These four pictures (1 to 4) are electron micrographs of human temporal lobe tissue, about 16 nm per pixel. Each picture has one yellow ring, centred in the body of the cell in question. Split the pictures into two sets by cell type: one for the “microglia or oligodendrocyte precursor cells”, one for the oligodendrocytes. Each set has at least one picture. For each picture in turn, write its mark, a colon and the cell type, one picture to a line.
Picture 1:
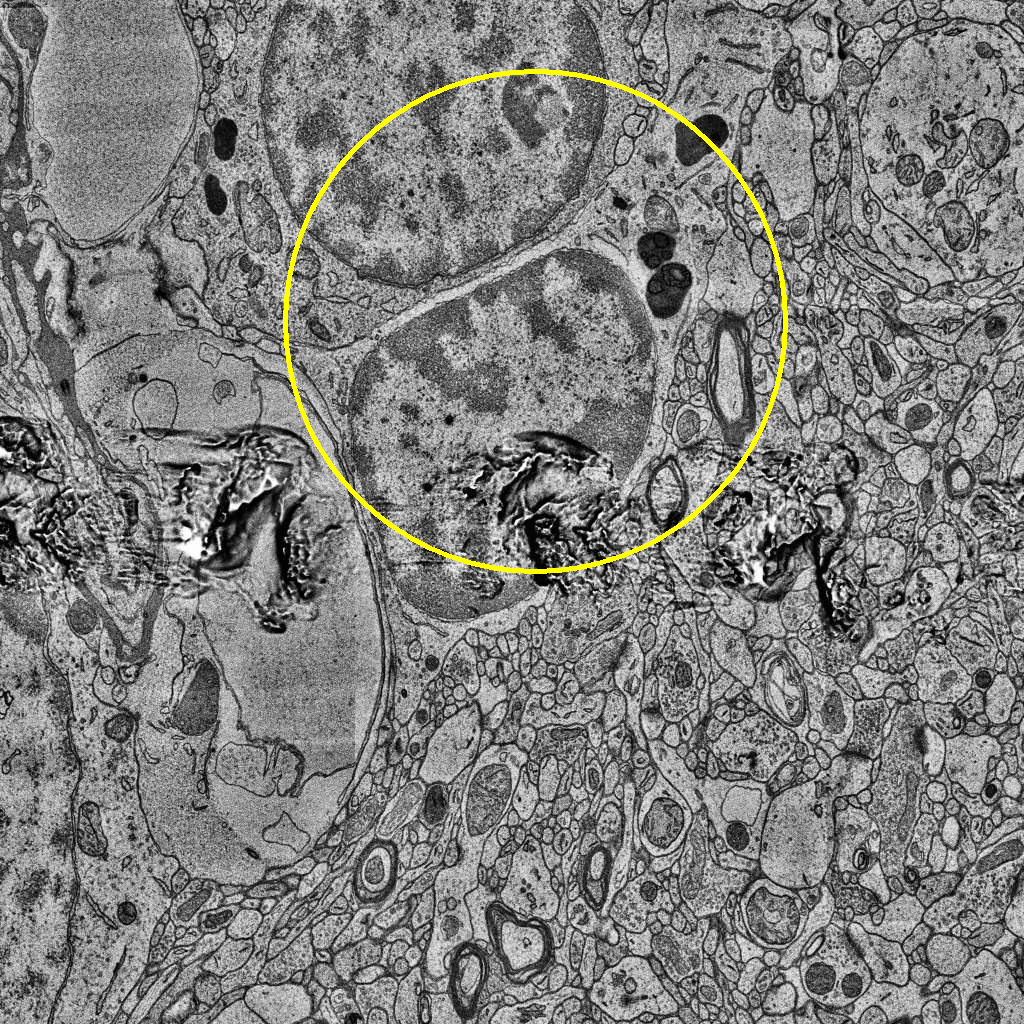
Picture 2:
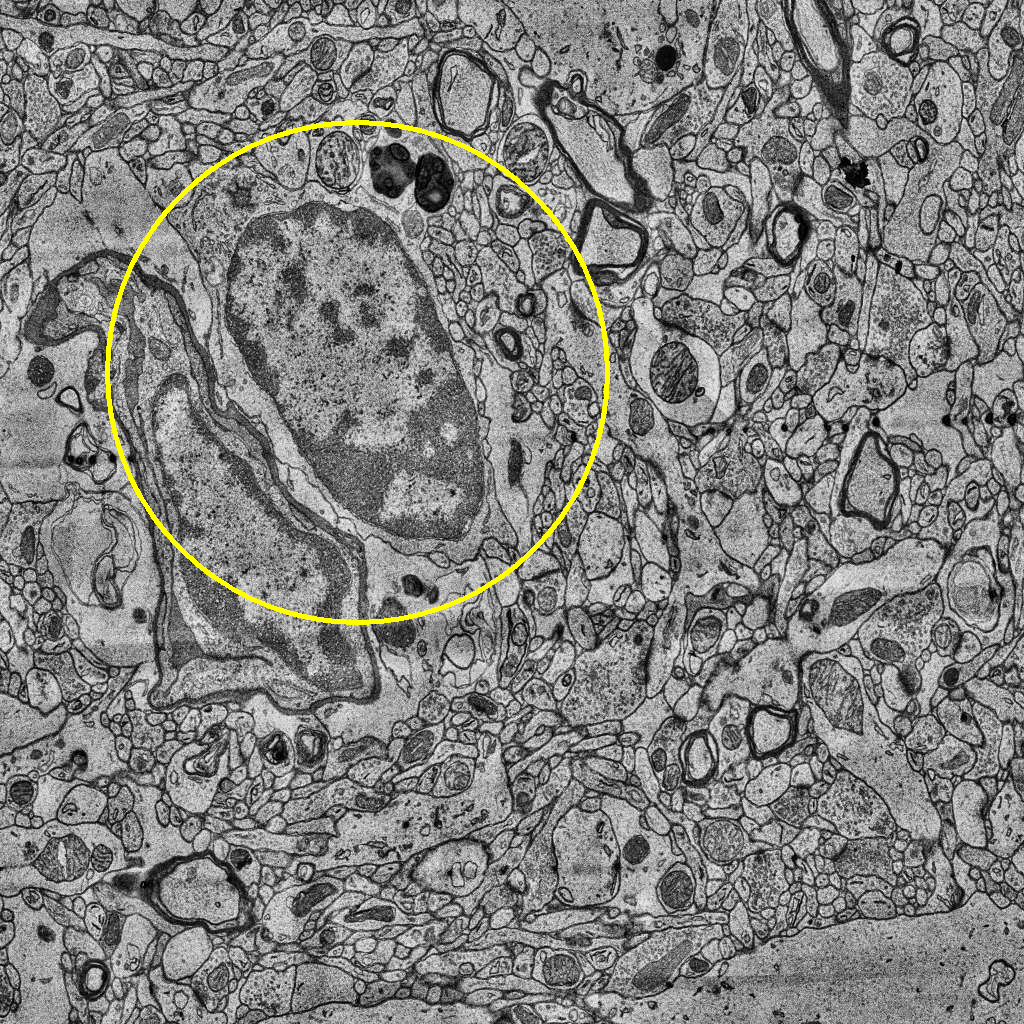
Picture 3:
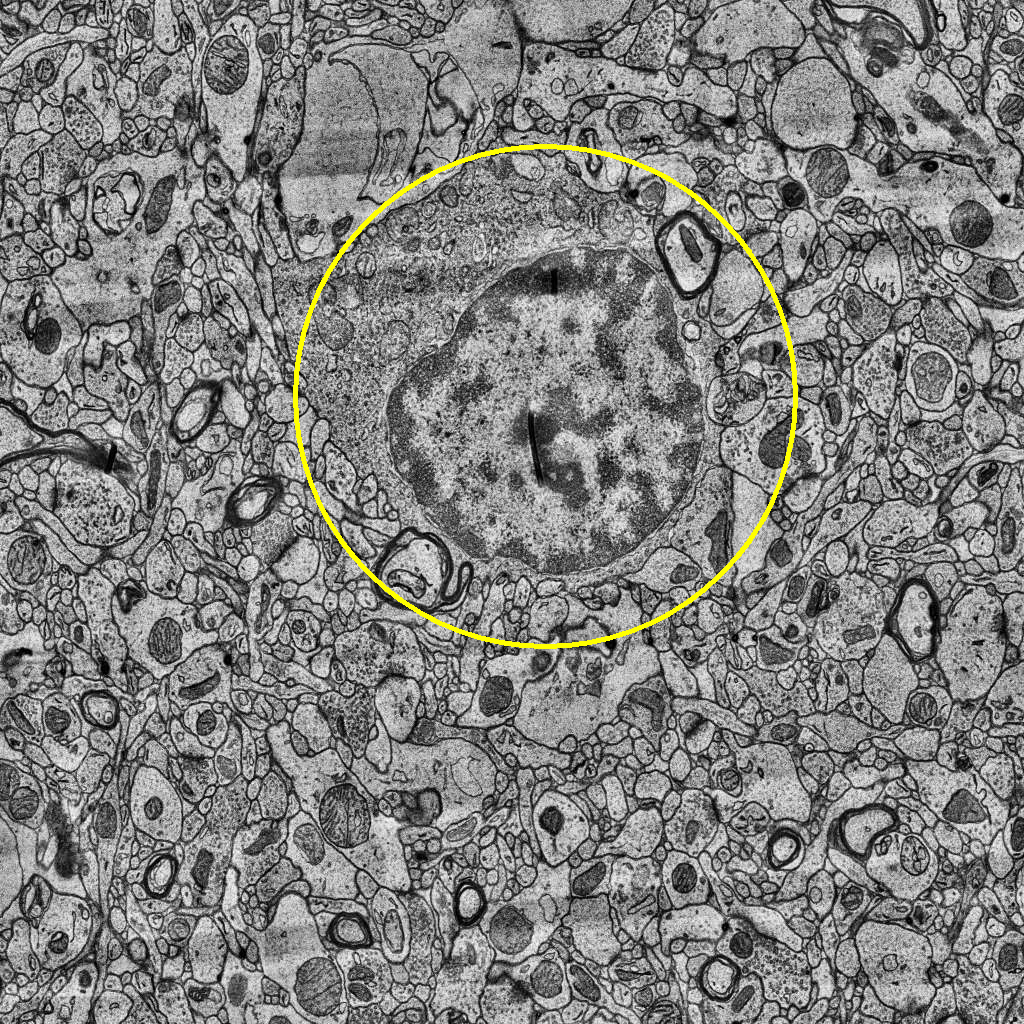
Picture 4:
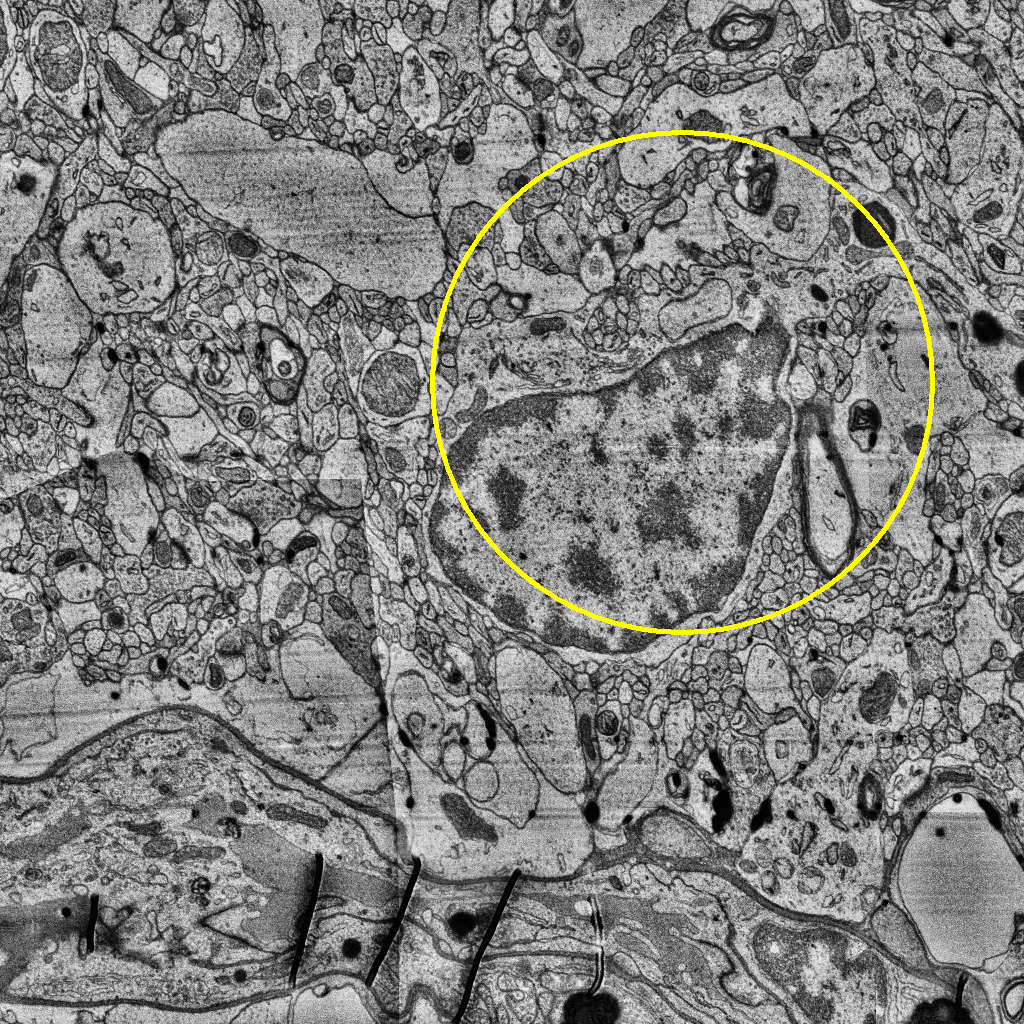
1: microglia or oligodendrocyte precursor cell
2: microglia or oligodendrocyte precursor cell
3: oligodendrocyte
4: microglia or oligodendrocyte precursor cell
